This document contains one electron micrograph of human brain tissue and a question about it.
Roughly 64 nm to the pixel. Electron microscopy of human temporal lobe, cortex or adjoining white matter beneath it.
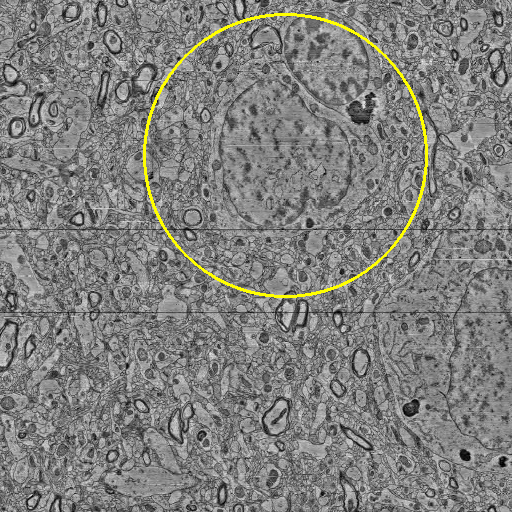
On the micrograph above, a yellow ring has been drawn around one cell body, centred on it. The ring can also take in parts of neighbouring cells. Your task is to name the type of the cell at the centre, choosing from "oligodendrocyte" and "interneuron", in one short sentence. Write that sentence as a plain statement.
Here the ring is centred on an interneuron.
